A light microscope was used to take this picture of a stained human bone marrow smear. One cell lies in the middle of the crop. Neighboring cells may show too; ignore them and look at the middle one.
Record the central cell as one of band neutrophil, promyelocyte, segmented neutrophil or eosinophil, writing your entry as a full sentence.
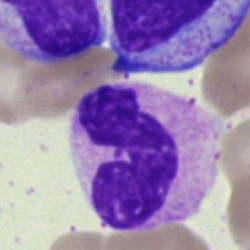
In short, the cell at the center is a segmented neutrophil.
